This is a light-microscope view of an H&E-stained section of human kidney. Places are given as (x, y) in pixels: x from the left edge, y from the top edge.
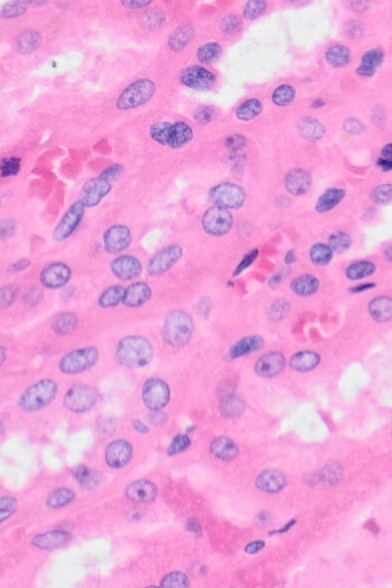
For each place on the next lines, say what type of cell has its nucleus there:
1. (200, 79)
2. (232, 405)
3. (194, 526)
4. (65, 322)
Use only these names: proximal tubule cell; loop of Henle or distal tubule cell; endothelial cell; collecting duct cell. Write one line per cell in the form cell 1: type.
cell 1: loop of Henle or distal tubule cell
cell 2: proximal tubule cell
cell 3: proximal tubule cell
cell 4: proximal tubule cell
